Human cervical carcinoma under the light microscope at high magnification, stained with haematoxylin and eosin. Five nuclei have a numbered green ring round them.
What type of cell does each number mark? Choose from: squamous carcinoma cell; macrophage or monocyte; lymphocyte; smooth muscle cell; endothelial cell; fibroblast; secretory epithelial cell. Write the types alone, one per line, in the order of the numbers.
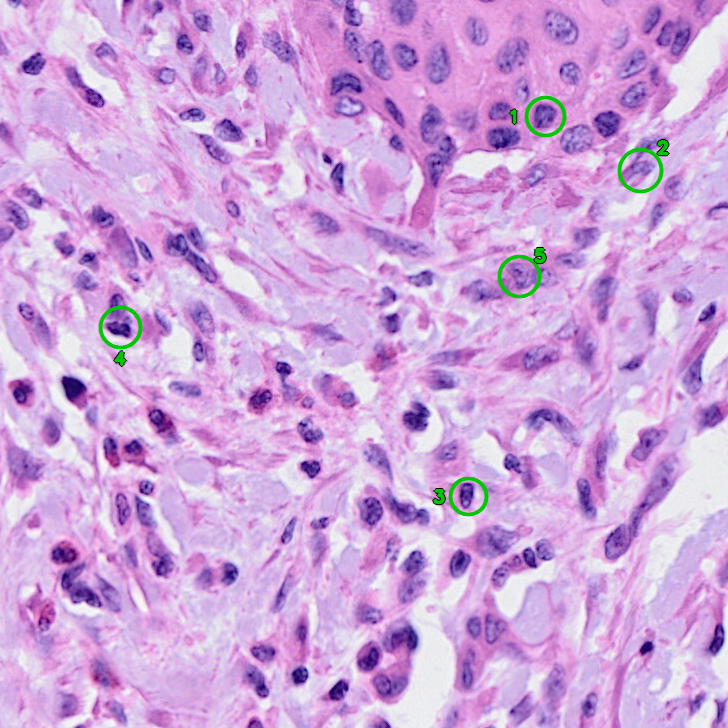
squamous carcinoma cell
fibroblast
lymphocyte
lymphocyte
endothelial cell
